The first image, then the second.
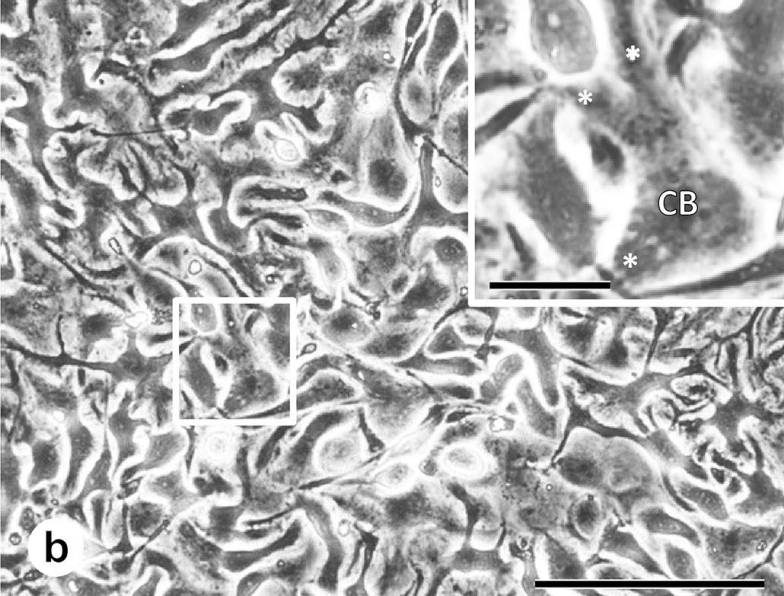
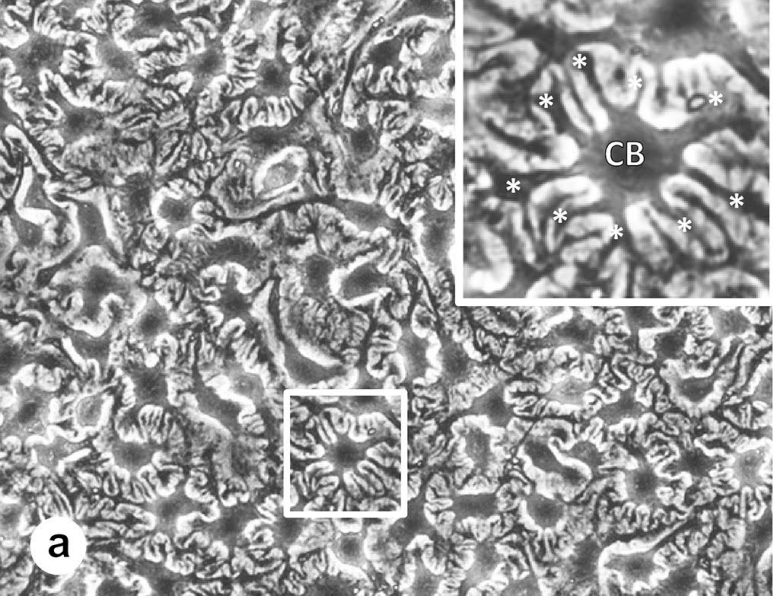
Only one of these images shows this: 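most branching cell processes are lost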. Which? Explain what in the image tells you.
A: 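The first image. First image: broad cells with few, smooth-edged processes and little branching. Second image: cell bodies ringed by many finely branched, interdigitating processes.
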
